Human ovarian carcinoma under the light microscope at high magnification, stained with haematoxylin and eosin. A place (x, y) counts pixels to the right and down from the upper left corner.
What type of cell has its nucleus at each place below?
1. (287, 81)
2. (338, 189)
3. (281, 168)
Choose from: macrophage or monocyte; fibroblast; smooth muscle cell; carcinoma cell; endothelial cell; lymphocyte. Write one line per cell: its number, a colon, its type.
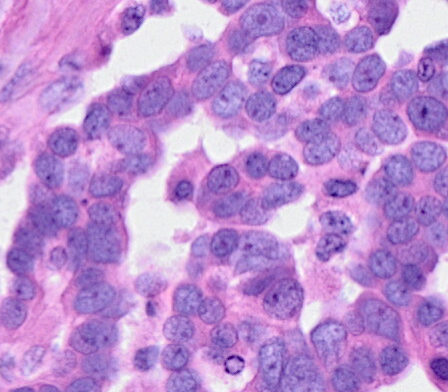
1: carcinoma cell
2: macrophage or monocyte
3: carcinoma cell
